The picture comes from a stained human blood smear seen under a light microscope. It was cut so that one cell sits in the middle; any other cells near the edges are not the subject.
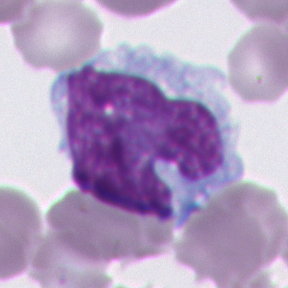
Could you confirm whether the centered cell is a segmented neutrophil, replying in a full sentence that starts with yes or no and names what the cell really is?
No, the identification should read a monocyte, not a segmented neutrophil, for the central cell.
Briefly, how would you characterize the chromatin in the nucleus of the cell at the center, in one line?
The chromatin remains finely textured, with no coarse clumps to speak of.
